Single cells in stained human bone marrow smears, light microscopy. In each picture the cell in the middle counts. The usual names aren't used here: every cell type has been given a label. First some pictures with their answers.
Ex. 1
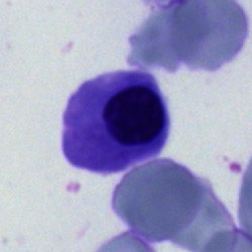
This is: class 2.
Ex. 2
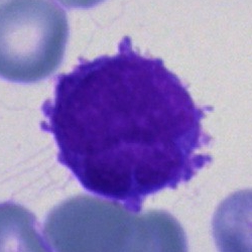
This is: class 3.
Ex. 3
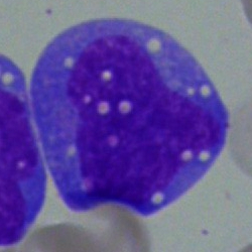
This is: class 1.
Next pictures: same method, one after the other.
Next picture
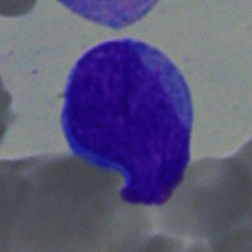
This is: class 3.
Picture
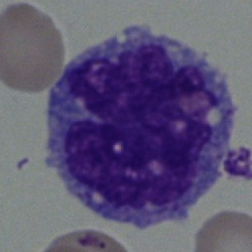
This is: class 1.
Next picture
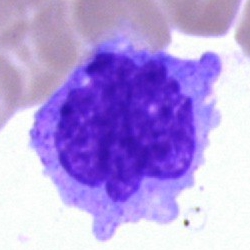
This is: class 1.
